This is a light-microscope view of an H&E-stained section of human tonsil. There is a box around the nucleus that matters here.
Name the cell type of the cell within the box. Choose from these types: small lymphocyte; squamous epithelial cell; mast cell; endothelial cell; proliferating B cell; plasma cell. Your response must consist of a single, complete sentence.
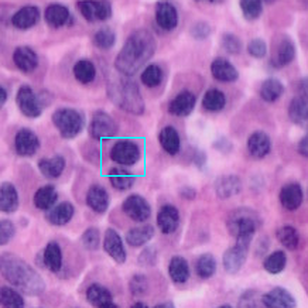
Right, so the cell within the box is a plasma cell, to answer that.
